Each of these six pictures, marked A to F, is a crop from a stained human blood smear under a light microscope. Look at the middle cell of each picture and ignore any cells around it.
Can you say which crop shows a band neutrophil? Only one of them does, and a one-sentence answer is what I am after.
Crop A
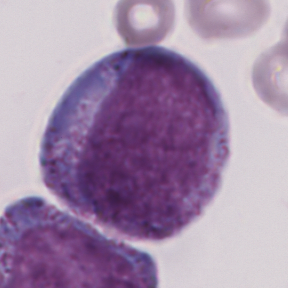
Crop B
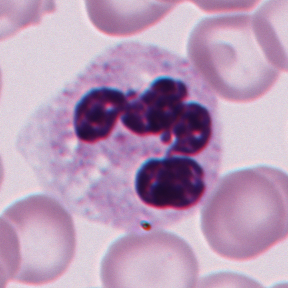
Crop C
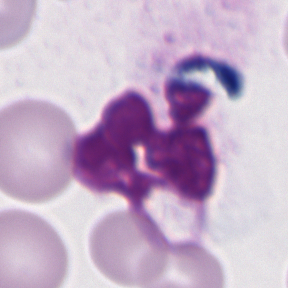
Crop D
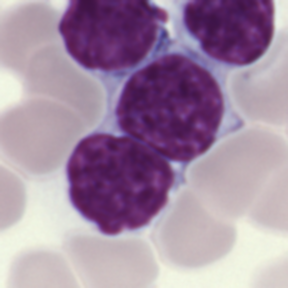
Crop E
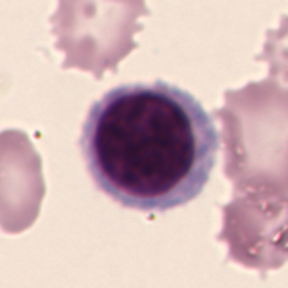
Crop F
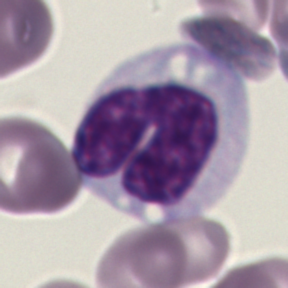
That would be crop F; it shows a band neutrophil.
